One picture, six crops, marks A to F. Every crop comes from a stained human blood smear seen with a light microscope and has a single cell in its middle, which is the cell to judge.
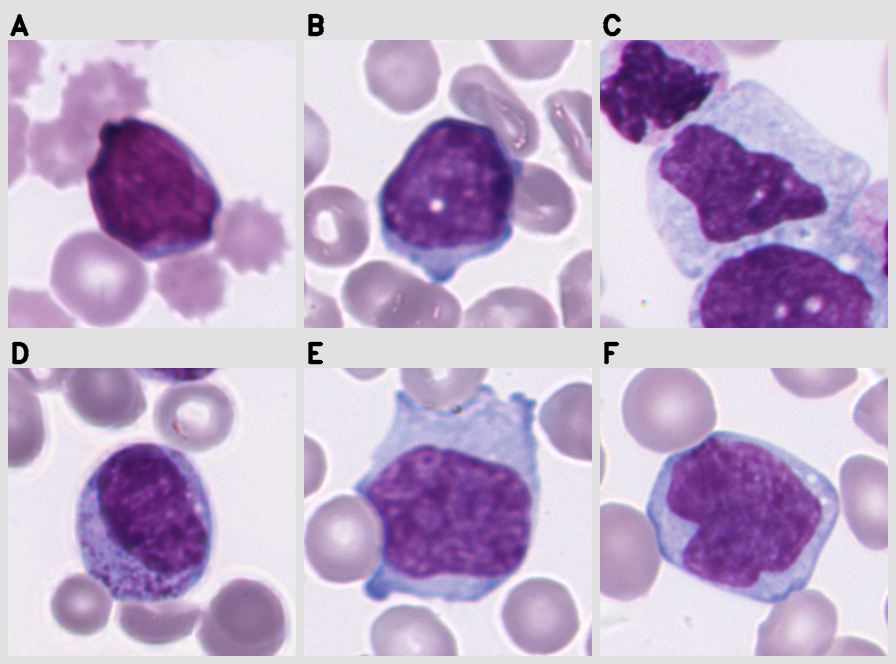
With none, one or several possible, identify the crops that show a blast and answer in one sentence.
Crops A, B, E and F present blasts as their central cells.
